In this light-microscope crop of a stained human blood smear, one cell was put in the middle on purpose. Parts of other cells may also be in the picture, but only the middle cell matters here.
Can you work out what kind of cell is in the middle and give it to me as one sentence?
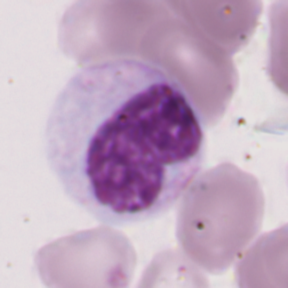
Of the cells in this crop, the central one is a metamyelocyte.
